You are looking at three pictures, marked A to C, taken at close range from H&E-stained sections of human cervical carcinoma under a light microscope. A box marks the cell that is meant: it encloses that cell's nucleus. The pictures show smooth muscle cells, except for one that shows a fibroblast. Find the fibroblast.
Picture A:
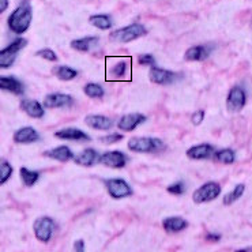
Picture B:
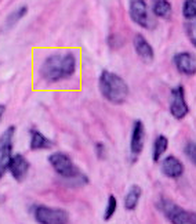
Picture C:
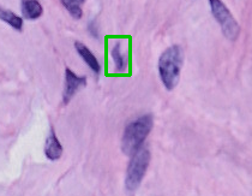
C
